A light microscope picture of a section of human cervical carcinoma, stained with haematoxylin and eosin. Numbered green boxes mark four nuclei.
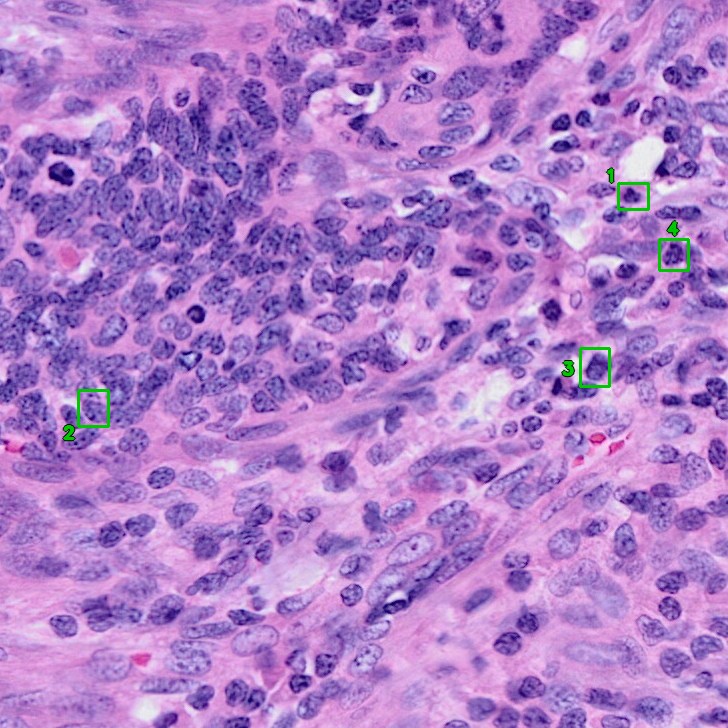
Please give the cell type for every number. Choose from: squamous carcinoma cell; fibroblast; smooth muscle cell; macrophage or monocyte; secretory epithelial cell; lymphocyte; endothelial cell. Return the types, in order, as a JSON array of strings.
["lymphocyte", "squamous carcinoma cell", "lymphocyte", "lymphocyte"]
